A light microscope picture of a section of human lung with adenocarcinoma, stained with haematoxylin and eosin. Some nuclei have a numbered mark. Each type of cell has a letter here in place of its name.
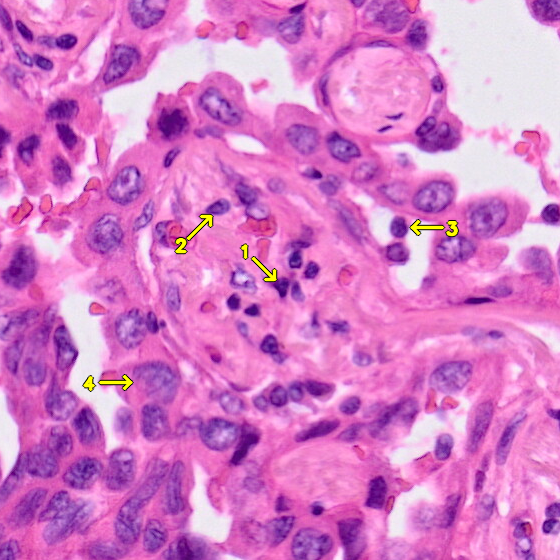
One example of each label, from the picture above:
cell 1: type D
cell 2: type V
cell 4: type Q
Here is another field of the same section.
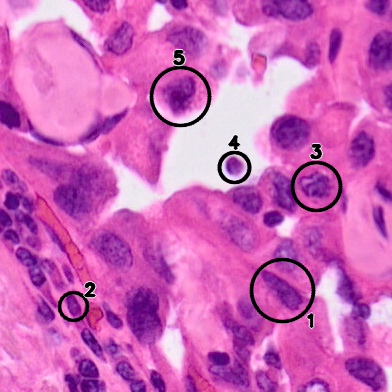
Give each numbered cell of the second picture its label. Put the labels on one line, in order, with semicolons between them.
type Q; type D; type Q; type V; type Q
